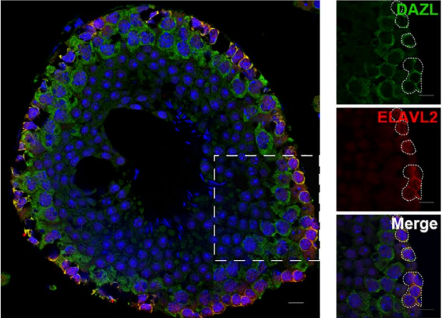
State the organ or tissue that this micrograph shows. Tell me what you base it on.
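A round tubule cross-section with a central lumen. Many layers of densely packed round nuclei fill the tubule wall. So: testis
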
